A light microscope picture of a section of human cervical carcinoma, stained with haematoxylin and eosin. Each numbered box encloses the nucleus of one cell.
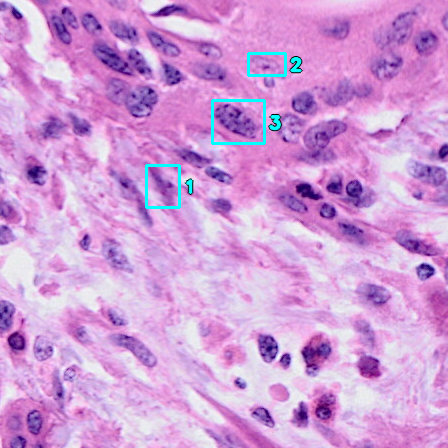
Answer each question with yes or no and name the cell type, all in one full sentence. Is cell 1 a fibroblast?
Yes, regarding number 1, the cell is a fibroblast.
